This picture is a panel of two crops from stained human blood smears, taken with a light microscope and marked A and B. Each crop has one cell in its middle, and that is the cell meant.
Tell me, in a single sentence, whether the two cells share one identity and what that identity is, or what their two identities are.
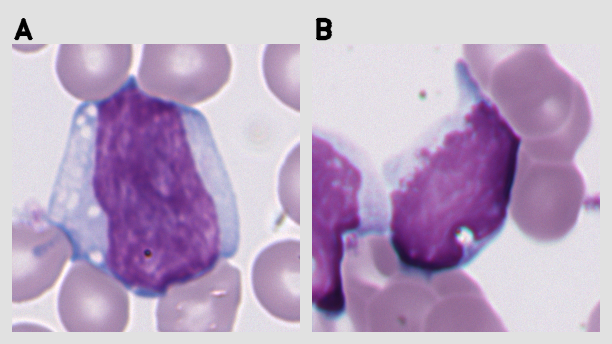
No, crop A is where a blast is shown, and crop B is where a lymphocyte is shown.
